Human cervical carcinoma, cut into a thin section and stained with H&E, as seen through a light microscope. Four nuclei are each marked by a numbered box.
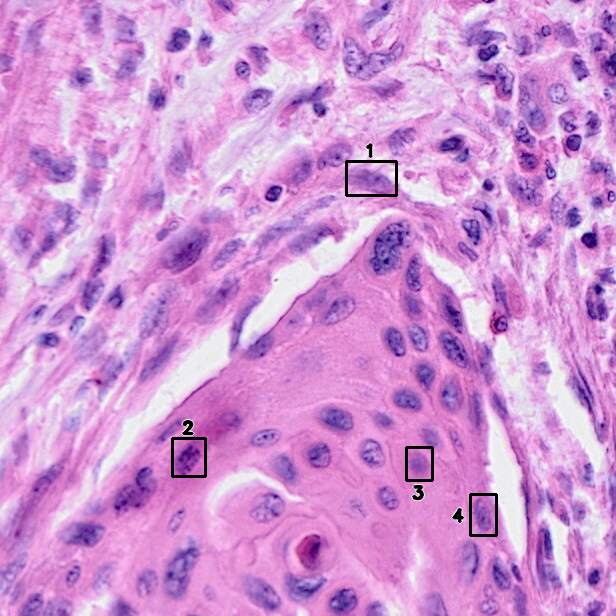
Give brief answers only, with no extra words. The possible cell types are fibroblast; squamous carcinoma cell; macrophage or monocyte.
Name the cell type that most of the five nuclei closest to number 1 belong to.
macrophage or monocyte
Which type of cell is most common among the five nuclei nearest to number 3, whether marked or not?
squamous carcinoma cell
